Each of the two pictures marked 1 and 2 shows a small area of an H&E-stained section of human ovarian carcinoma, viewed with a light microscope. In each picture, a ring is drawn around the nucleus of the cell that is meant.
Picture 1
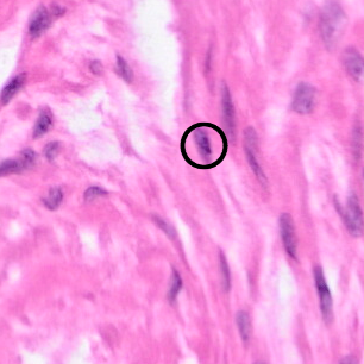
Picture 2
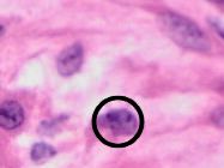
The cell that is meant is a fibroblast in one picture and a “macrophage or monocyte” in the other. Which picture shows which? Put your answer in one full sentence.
In picture 1 the cell is a fibroblast; in picture 2, a “macrophage or monocyte”.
